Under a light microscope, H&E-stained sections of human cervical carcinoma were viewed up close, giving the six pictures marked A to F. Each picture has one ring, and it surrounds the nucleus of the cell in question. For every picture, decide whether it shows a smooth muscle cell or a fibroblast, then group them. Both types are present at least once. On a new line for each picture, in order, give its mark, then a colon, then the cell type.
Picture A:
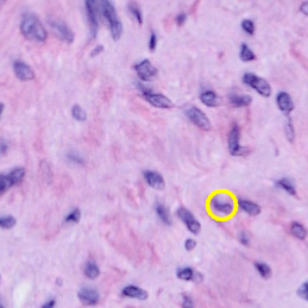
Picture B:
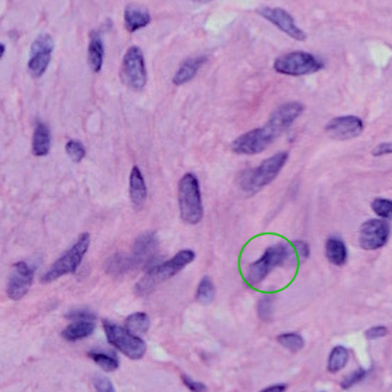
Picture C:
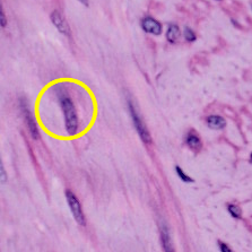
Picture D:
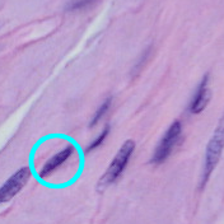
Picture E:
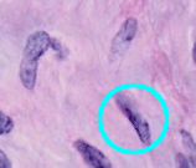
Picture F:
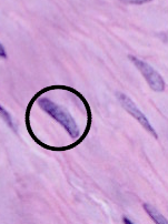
A: smooth muscle cell
B: fibroblast
C: smooth muscle cell
D: fibroblast
E: fibroblast
F: fibroblast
